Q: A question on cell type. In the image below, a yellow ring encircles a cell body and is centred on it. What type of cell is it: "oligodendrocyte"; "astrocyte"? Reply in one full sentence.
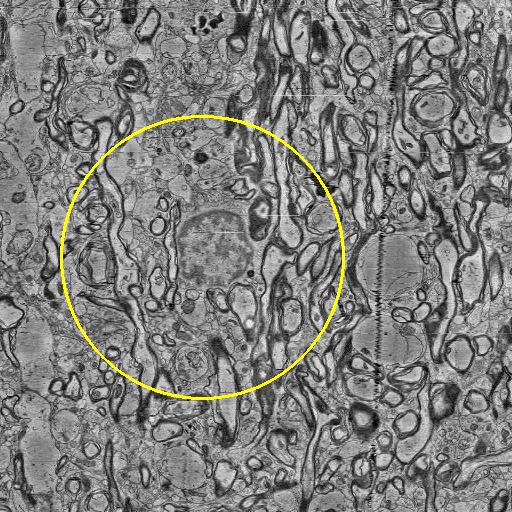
It is an oligodendrocyte whose cell body sits at the centre of the yellow ring in the image.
